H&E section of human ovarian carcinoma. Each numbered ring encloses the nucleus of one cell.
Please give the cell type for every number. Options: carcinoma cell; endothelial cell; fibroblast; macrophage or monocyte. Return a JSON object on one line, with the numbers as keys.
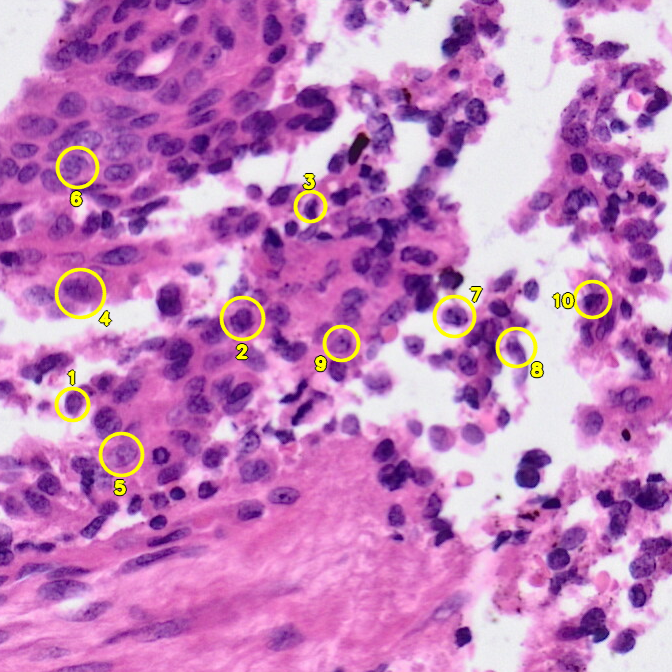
{"1": "carcinoma cell", "2": "carcinoma cell", "3": "macrophage or monocyte", "4": "carcinoma cell", "5": "carcinoma cell", "6": "carcinoma cell", "7": "macrophage or monocyte", "8": "carcinoma cell", "9": "macrophage or monocyte", "10": "macrophage or monocyte"}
